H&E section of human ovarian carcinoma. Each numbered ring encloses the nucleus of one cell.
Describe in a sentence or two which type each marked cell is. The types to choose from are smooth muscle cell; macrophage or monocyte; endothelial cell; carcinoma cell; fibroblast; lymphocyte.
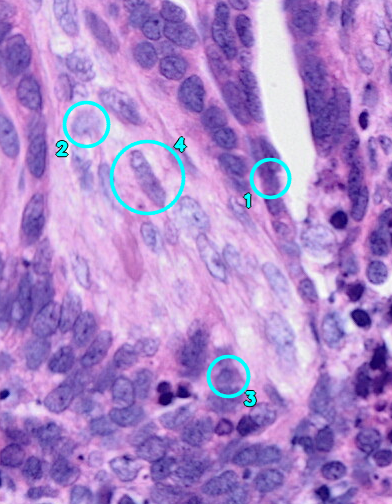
Cells 1 and 3 are carcinoma cells. Cells 2 and 4 are fibroblasts.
